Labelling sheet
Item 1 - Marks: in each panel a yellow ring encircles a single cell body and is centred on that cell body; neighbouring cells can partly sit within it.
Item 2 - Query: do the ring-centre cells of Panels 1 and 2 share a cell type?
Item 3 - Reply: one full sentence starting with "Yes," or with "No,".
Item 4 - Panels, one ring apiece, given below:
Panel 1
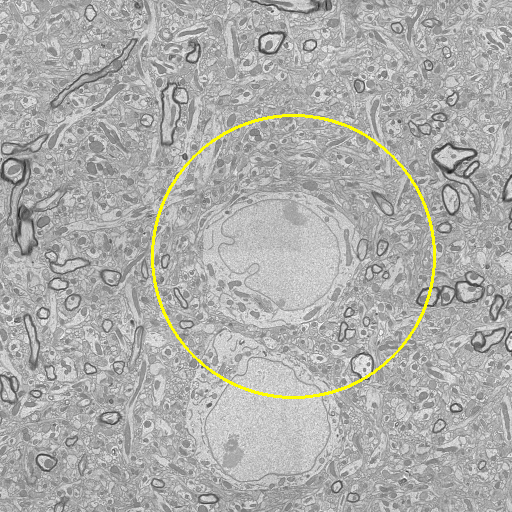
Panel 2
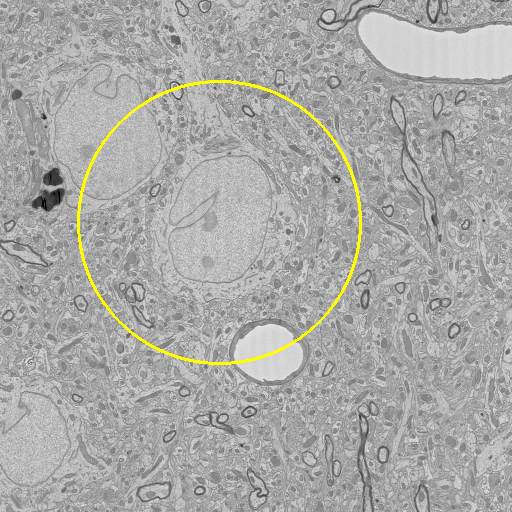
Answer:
Yes, Panel 1 and Panel 2 show one cell type at the centres of their rings.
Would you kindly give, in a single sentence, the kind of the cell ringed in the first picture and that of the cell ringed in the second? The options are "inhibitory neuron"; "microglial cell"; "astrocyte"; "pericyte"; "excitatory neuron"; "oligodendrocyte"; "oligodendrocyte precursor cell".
Each of the two rings is centred on an excitatory neuron.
